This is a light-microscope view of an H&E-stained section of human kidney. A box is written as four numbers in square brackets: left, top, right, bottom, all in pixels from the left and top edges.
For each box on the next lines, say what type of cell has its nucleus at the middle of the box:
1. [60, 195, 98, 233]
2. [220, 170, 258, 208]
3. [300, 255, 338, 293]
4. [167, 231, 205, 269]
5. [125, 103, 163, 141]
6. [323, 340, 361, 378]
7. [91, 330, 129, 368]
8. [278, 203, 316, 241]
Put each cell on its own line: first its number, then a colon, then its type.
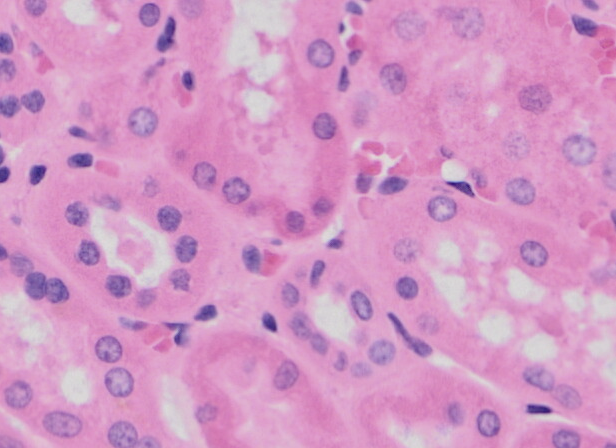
1: loop of Henle or distal tubule cell
2: proximal tubule cell
3: collecting duct cell
4: loop of Henle or distal tubule cell
5: proximal tubule cell
6: collecting duct cell
7: proximal tubule cell
8: proximal tubule cell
